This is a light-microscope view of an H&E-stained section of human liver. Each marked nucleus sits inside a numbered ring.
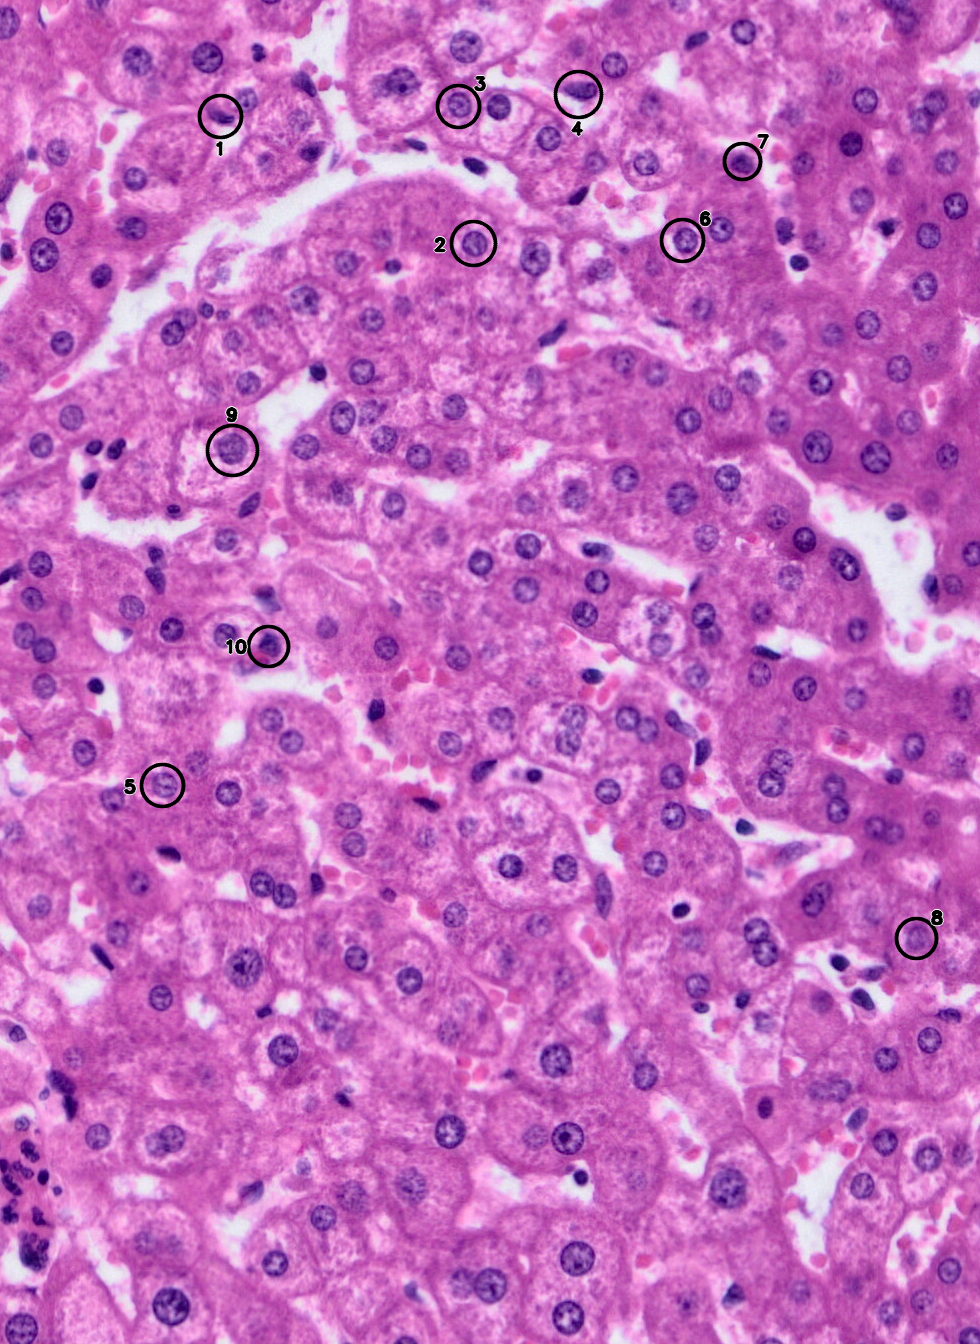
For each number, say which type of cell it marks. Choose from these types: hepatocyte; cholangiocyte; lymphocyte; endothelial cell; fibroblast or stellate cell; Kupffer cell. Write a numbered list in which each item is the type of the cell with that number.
1. Kupffer cell
2. hepatocyte
3. hepatocyte
4. Kupffer cell
5. hepatocyte
6. hepatocyte
7. Kupffer cell
8. hepatocyte
9. hepatocyte
10. fibroblast or stellate cell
